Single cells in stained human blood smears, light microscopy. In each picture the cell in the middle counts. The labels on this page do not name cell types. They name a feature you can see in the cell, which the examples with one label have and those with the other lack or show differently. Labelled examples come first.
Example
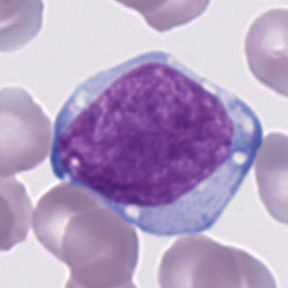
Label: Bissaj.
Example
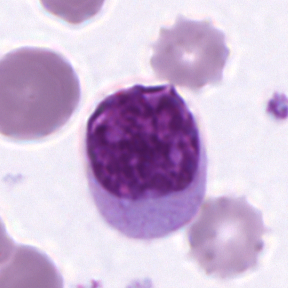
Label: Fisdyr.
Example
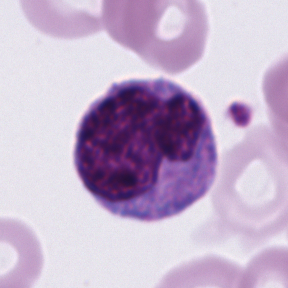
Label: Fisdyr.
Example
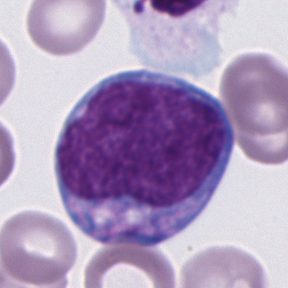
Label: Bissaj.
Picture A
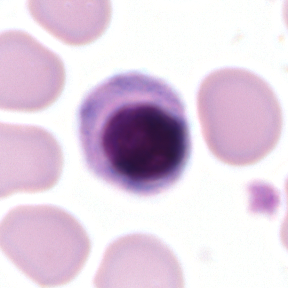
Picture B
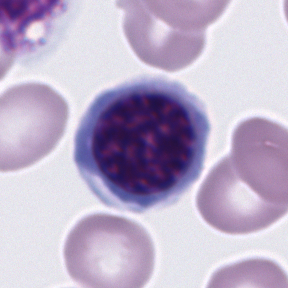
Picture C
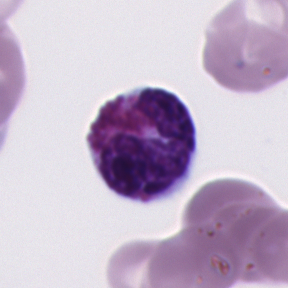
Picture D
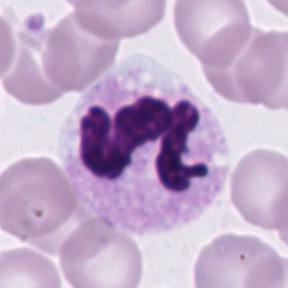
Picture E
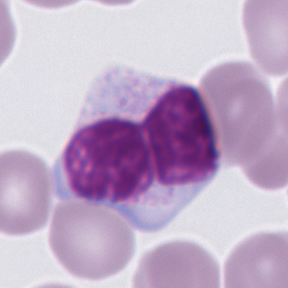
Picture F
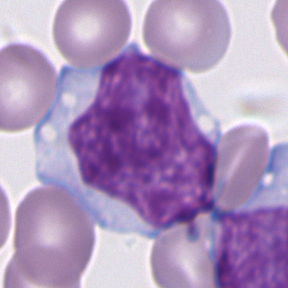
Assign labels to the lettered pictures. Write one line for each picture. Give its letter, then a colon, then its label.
A: Fisdyr.
B: Fisdyr.
C: Fisdyr.
D: Fisdyr.
E: Fisdyr.
F: Bissaj.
